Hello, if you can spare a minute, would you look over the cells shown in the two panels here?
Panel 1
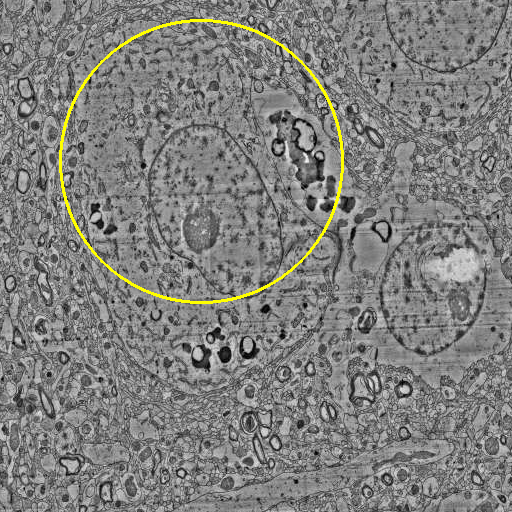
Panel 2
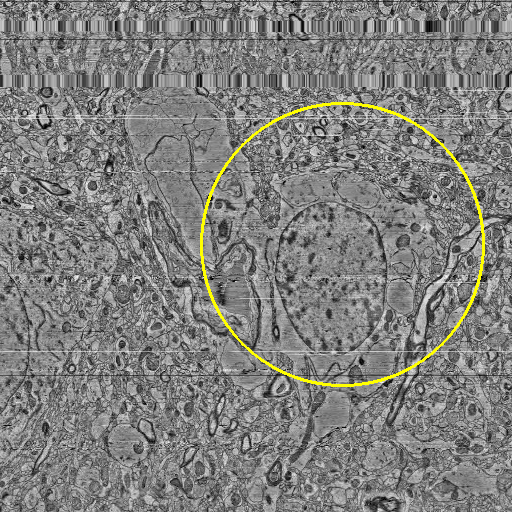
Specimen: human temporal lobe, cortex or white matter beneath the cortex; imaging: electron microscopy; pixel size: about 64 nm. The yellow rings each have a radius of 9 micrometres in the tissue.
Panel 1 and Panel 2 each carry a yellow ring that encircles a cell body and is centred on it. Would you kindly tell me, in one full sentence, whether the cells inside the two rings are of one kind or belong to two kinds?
The cells at the centres of the rings in Panel 1 and Panel 2 belong to two kinds.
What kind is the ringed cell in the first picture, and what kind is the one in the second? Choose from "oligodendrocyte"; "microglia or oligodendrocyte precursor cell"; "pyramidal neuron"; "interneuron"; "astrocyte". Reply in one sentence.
The first cell is a pyramidal neuron; the second is an astrocyte.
